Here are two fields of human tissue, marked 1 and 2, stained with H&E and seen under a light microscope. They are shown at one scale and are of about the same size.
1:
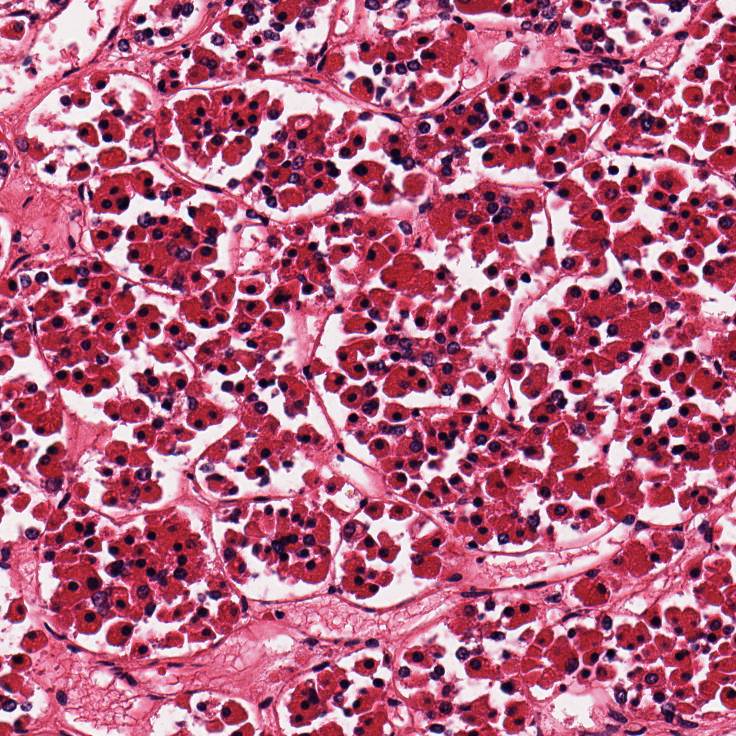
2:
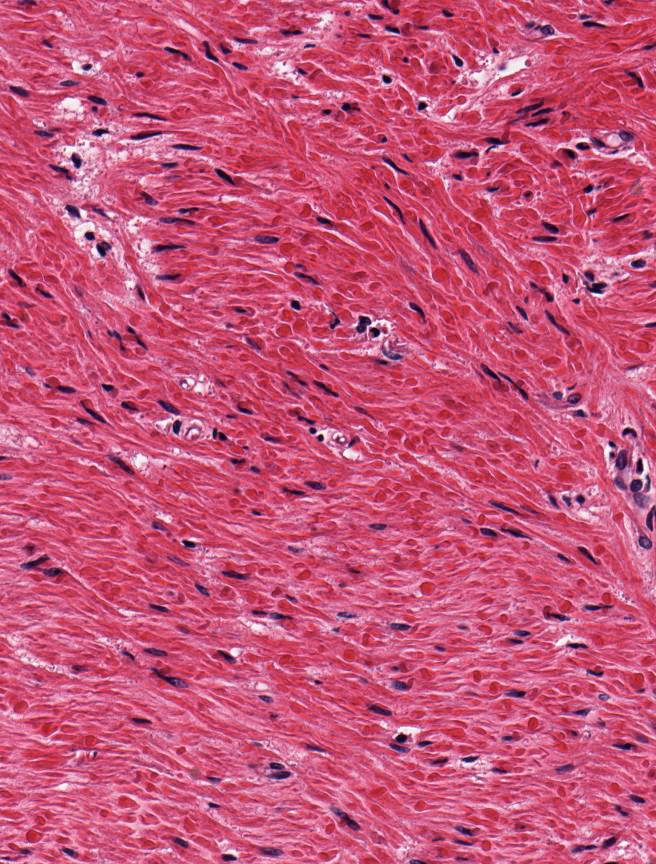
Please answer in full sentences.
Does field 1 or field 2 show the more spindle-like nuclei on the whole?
On the whole the nuclei of field 2 are more drawn out than those of field 1.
